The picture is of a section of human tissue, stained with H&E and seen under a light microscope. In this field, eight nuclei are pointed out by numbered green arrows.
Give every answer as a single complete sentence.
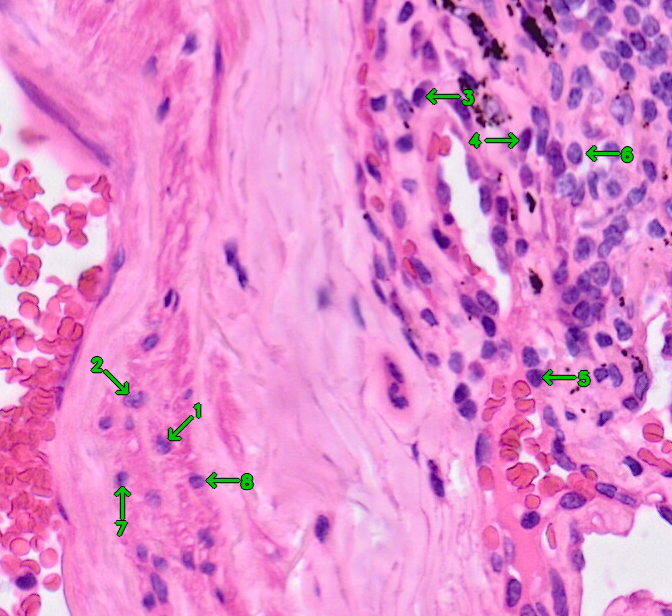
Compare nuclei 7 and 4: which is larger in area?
The larger nucleus is 4, at roughly 2 times the area of 7.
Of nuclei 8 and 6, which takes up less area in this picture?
With nucleus 6 about 1.5 times its size, nucleus 8 is the smaller of the two.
